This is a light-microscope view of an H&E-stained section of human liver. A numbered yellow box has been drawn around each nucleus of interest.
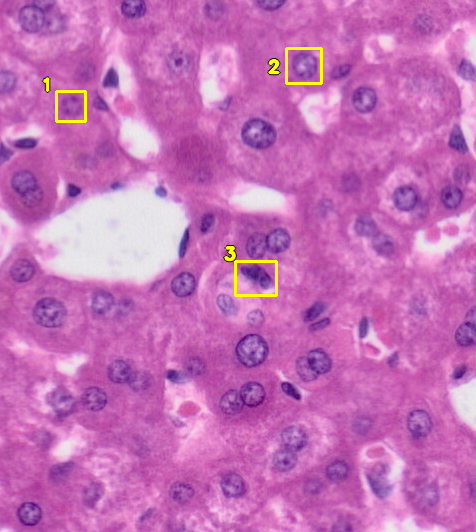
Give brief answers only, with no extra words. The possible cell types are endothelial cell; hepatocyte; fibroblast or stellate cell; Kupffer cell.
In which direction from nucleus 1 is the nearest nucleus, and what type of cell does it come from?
a fibroblast or stellate cell to the right of nucleus 1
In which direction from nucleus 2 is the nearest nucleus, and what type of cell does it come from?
a fibroblast or stellate cell, to the right of nucleus 2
